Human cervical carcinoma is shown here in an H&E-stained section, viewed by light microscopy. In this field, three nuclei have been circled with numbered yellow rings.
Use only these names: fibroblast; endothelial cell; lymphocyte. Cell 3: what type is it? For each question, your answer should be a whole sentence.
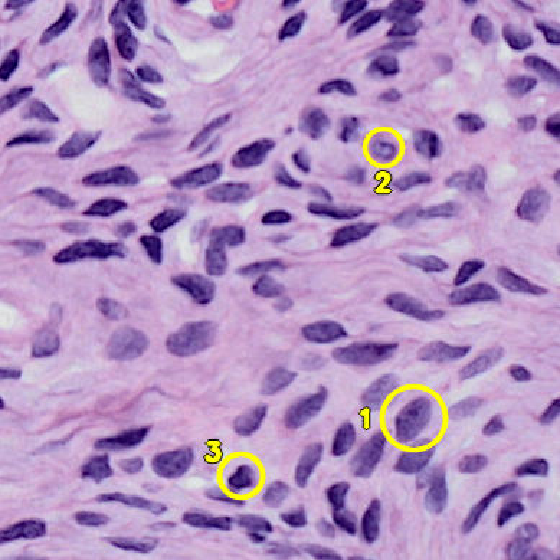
The cell pointed out by number 3 is a fibroblast.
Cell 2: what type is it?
Corresponding to an endothelial cell is the cell labelled 2.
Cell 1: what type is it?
The marked cell with the number 1 is recognised as a fibroblast.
